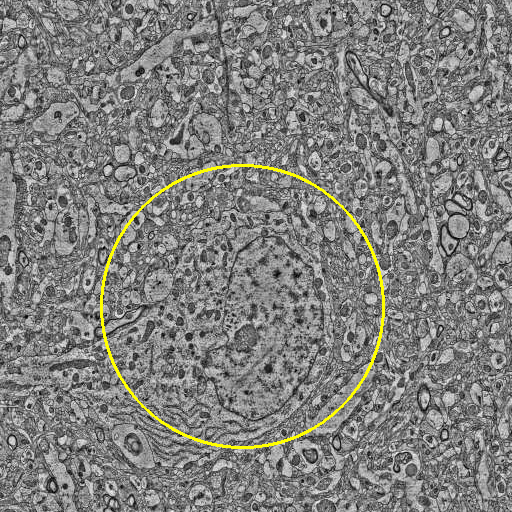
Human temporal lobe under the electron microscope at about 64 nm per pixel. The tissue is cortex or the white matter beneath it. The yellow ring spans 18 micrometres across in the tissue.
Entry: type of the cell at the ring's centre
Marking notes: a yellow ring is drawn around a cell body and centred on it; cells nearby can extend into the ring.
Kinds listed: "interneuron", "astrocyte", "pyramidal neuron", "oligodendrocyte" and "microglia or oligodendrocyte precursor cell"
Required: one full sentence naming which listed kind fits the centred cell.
My entry names an interneuron as the cell whose body the yellow ring centres on.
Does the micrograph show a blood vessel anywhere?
No, none appears.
